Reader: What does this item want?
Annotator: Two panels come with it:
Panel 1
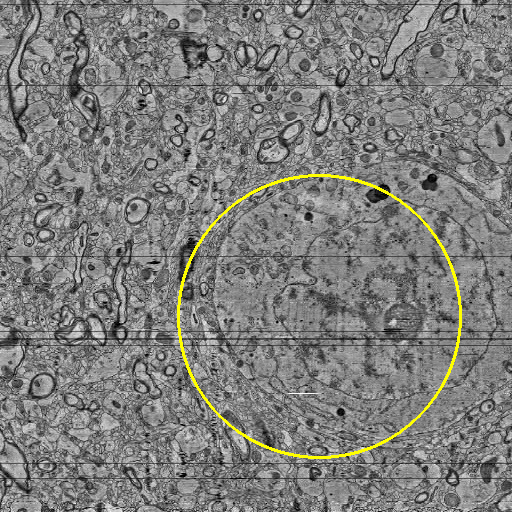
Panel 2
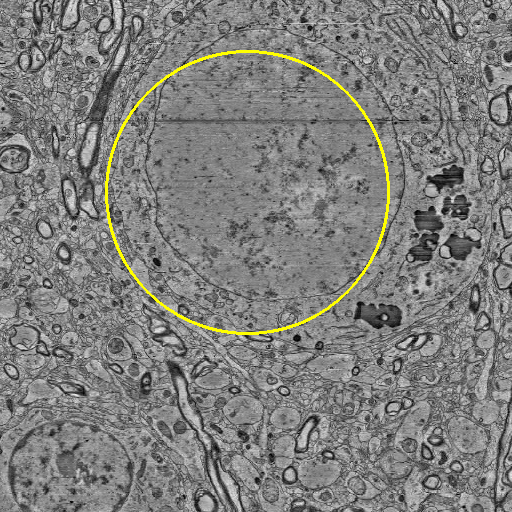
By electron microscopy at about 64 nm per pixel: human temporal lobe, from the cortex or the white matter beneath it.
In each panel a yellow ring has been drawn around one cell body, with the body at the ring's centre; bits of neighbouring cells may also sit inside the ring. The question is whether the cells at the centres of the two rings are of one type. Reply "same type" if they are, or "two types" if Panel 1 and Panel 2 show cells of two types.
same type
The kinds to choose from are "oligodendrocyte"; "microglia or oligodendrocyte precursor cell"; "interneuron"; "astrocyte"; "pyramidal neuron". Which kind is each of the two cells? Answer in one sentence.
In each of the two pictures, the ringed cell is a pyramidal neuron.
